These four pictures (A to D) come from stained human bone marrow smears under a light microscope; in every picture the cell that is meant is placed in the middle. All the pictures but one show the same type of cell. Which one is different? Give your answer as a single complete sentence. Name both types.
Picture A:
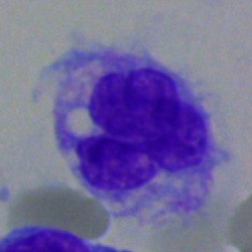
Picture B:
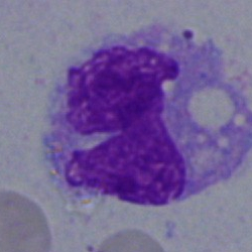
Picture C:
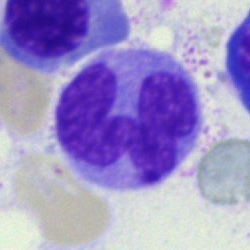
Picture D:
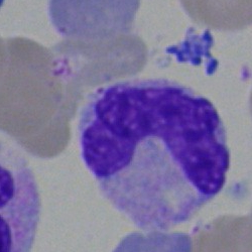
Picture D is the odd one out: it shows a band neutrophil, while the others show monocytes.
